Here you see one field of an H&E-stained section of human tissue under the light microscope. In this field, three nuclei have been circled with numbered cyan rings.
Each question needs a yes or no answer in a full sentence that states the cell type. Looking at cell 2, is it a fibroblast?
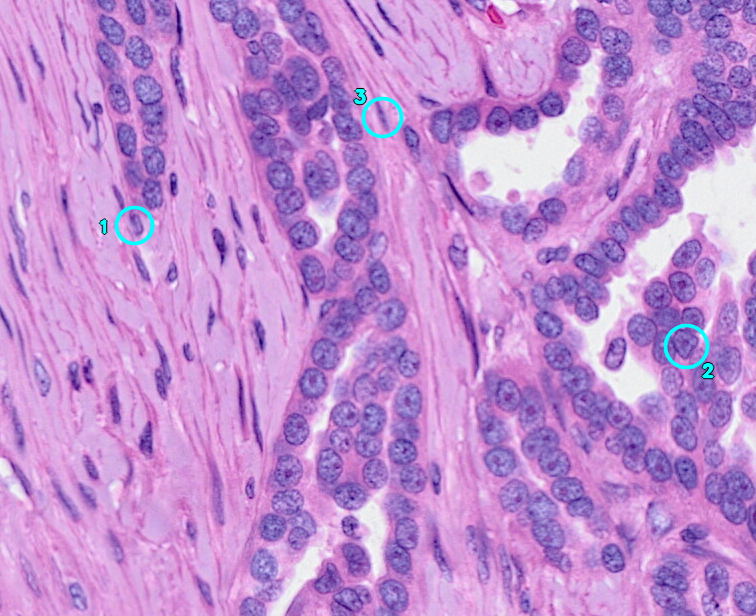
No, the marker 2 sits on a carcinoma cell, not on a fibroblast.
